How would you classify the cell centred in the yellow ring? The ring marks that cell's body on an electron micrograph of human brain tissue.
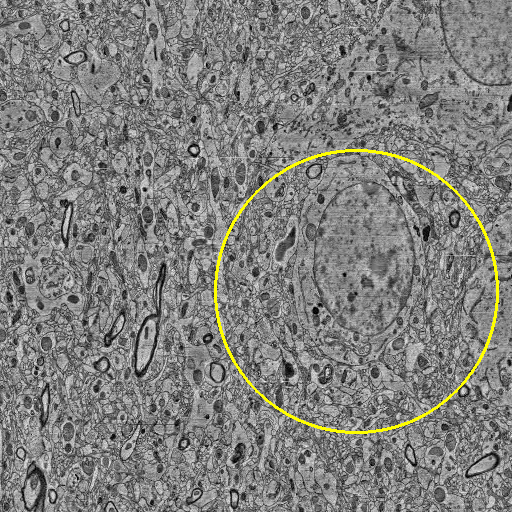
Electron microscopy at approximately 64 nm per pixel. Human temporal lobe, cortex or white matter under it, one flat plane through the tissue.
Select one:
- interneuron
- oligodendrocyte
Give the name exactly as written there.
interneuron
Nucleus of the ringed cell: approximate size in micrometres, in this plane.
About 10 by 7 micrometres, the nucleus being clearly longer than it is wide in this plane.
